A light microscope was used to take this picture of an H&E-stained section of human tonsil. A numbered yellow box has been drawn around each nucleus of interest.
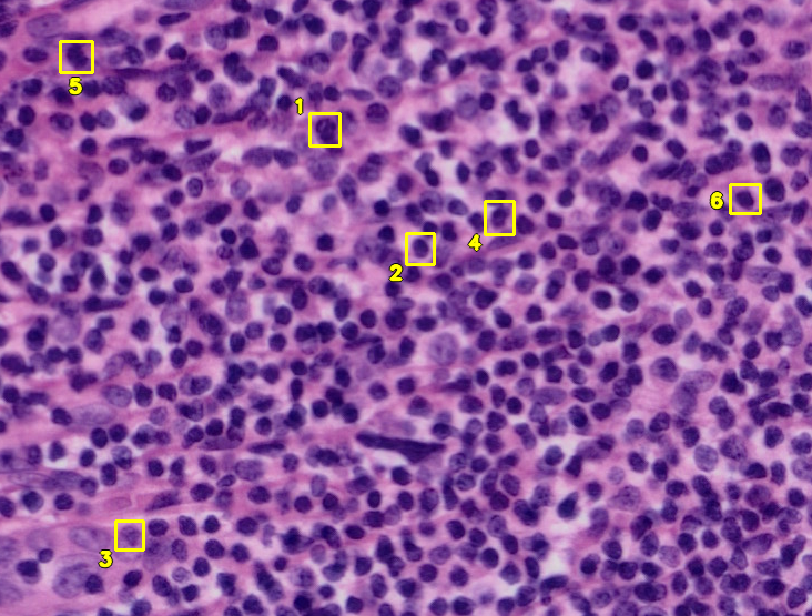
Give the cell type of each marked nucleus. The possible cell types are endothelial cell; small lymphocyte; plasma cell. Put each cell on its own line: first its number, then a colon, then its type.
1: plasma cell
2: small lymphocyte
3: endothelial cell
4: small lymphocyte
5: endothelial cell
6: small lymphocyte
